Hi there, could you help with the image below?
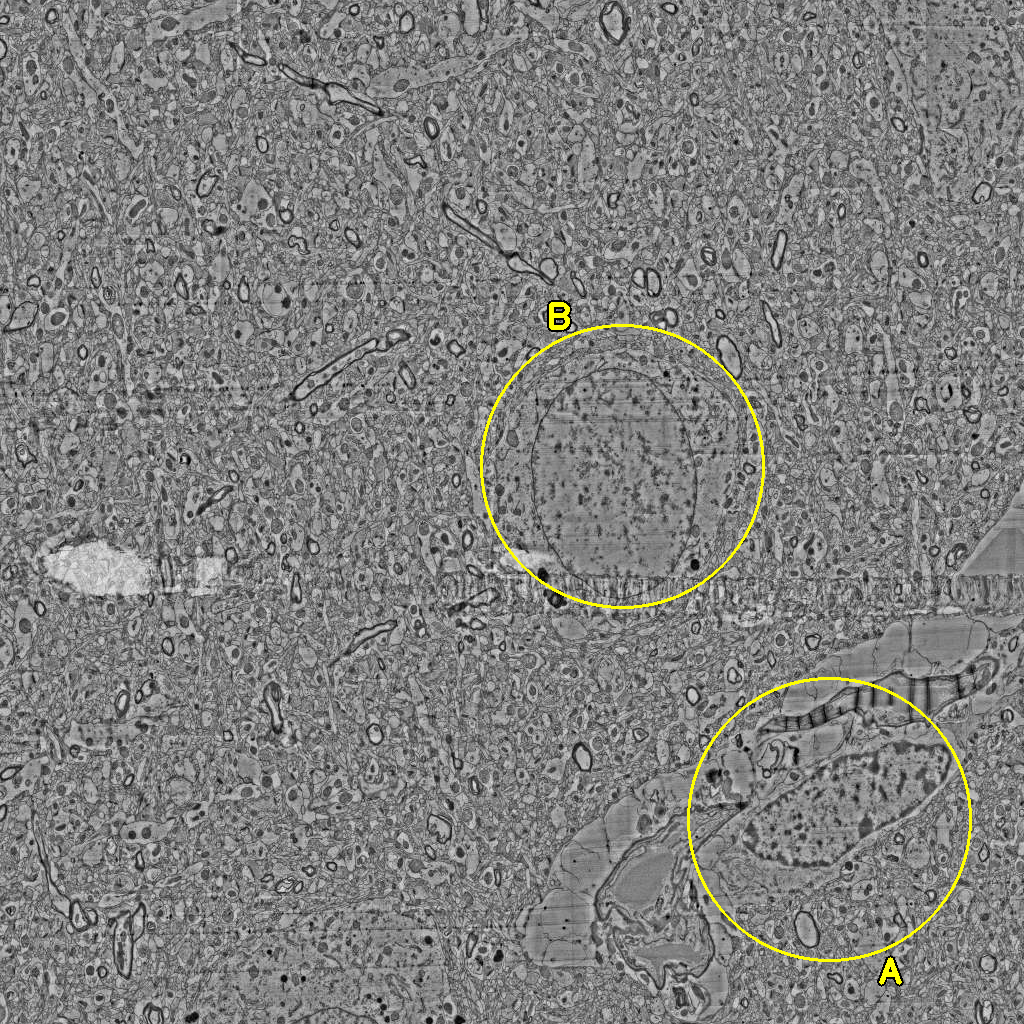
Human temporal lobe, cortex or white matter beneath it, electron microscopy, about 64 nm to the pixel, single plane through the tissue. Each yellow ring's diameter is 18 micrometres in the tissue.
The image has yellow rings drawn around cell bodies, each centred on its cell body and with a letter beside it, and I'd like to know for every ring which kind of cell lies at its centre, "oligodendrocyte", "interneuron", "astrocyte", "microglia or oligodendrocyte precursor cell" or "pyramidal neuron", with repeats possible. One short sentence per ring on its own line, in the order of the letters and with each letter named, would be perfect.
Ring A is placed around a microglial cell or oligodendrocyte precursor cell.
Ring B is placed around a pyramidal neuron.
